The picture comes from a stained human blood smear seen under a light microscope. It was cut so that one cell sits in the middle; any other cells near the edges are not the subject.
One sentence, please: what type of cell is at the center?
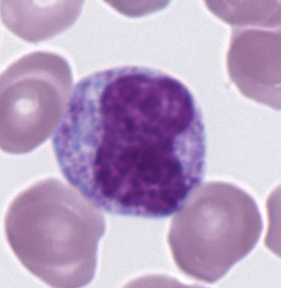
The cell found in the middle of this crop is a metamyelocyte.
